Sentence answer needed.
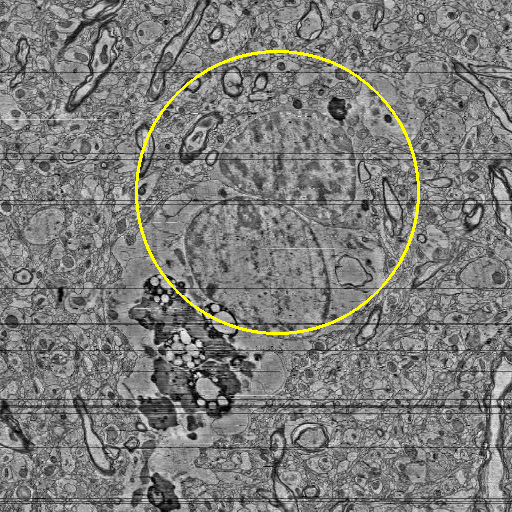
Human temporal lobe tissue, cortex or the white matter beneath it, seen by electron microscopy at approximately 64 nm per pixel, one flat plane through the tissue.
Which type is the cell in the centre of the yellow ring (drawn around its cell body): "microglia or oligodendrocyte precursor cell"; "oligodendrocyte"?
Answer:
In the centre of the yellow ring is an oligodendrocyte.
